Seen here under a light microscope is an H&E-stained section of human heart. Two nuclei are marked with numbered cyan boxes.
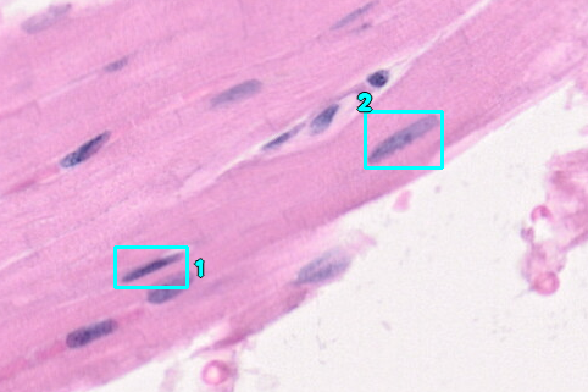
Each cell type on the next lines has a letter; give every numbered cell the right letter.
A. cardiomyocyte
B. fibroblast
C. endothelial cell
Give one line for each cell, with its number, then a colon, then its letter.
1: C
2: A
